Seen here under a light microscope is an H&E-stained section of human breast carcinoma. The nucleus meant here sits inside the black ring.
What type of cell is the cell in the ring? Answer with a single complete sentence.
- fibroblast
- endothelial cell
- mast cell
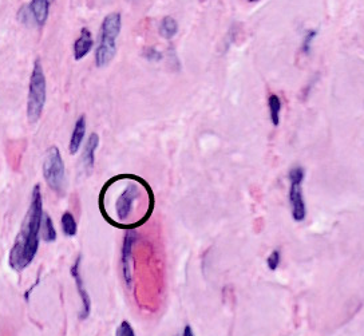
The cell in the ring appears to be an endothelial cell.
